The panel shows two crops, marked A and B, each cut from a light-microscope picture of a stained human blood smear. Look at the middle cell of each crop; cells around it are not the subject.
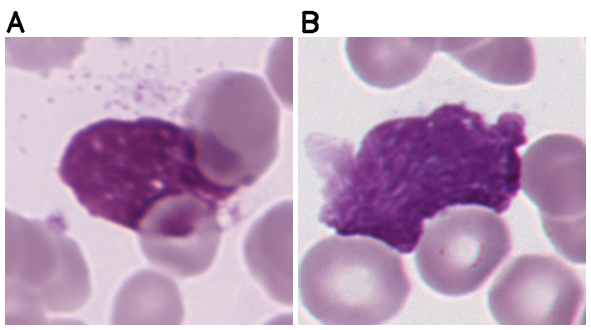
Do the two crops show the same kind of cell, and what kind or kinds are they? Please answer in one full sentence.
Yes, the cells at the centre of both crops are smudge cells.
